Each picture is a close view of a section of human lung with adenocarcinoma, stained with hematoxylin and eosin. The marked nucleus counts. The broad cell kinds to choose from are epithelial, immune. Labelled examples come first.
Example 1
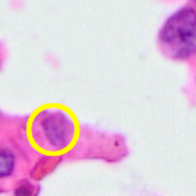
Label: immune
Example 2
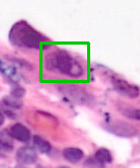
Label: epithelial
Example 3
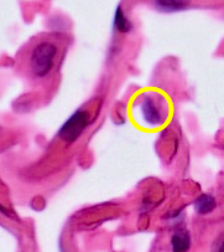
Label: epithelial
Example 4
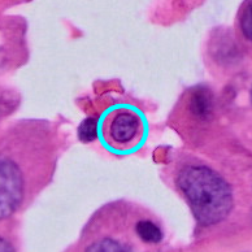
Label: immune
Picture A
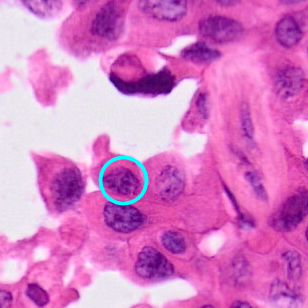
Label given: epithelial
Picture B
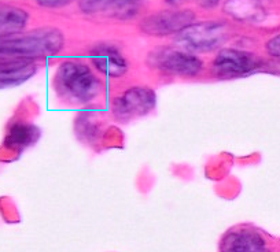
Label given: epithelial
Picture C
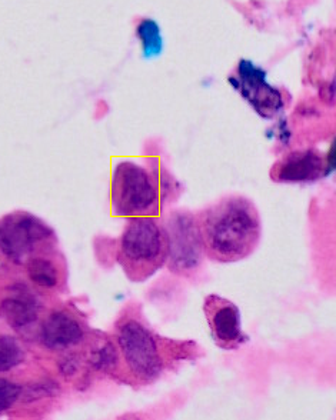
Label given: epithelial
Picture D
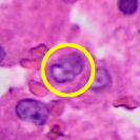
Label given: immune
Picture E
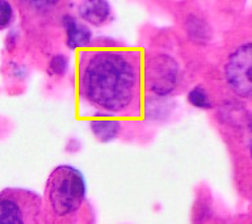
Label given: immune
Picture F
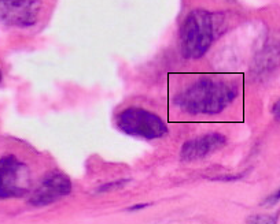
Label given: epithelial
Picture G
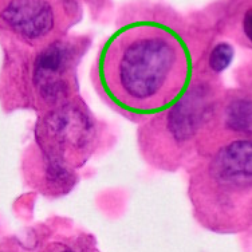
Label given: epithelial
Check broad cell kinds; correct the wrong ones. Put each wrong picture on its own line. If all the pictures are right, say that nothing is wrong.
E: change immune to epithelial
